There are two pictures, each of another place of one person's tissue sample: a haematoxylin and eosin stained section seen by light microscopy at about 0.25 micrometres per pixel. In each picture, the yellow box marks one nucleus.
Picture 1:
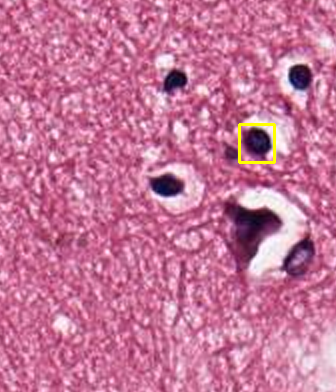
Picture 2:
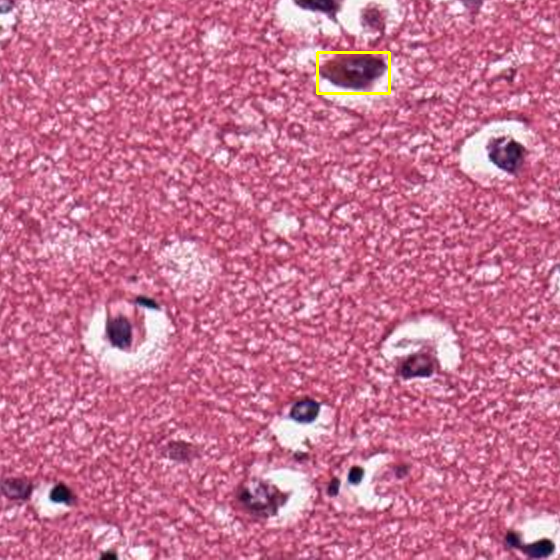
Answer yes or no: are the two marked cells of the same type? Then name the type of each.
No, the first is an oligodendrocyte and the second a neuron.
